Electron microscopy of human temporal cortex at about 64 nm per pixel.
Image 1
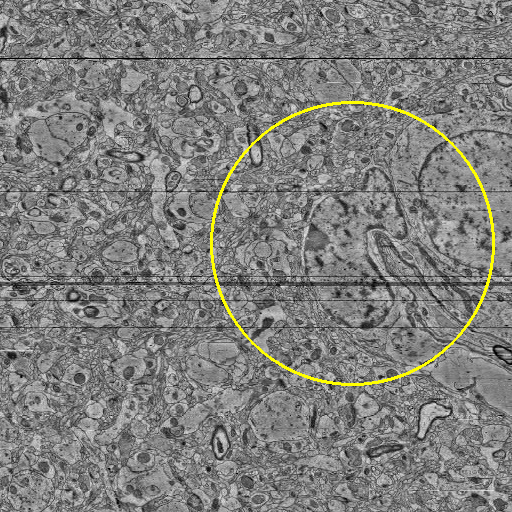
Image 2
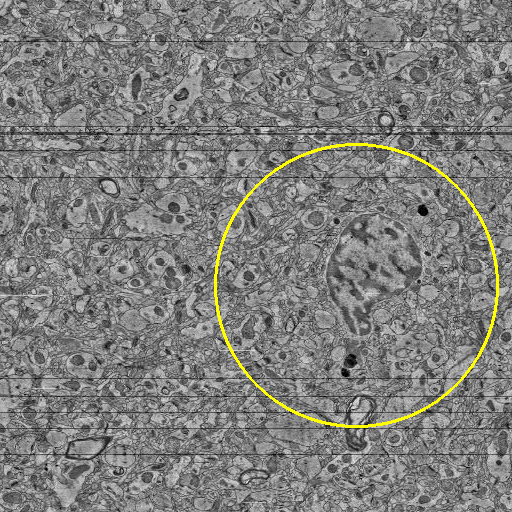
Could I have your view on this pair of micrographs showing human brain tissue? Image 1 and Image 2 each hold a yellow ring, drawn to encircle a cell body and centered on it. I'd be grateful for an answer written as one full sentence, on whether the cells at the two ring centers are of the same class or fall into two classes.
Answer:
The cells at the centers of the two rings are of the same class.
